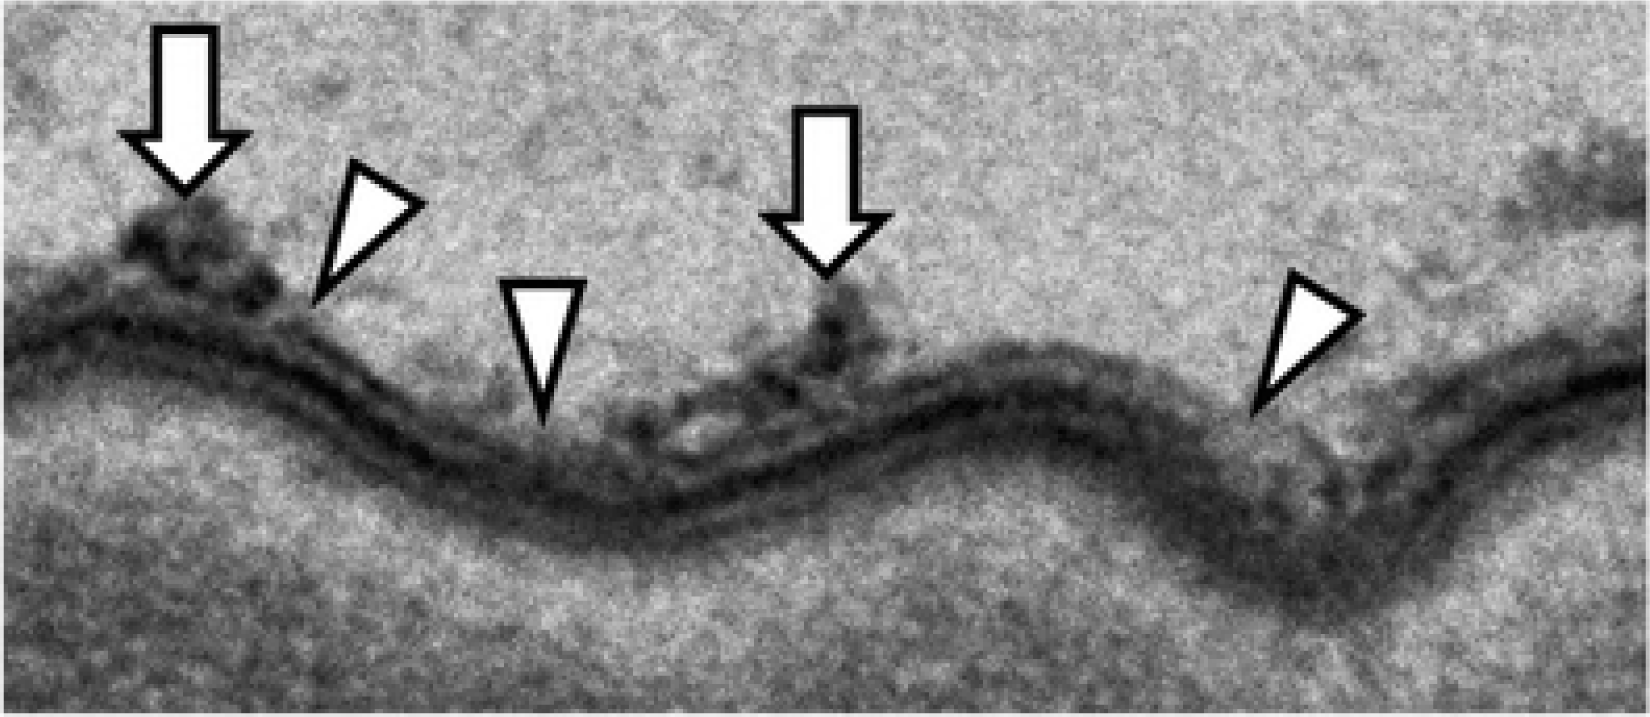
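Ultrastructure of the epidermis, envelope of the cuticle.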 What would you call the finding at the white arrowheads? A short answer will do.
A: surface sublayers were broken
